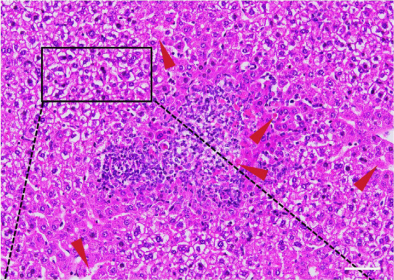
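The section shows liver tissue in which many hepatocytes have pale, clear-looking cytoplasm instead of even pink staining. The cords of cells appear loosened, with widened clear spaces between them. Some nuclei look small and dark. Near the centre lies a dense cluster of small cells with dark nuclei. Red arrowheads point to several of the widened spaces between the cells.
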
